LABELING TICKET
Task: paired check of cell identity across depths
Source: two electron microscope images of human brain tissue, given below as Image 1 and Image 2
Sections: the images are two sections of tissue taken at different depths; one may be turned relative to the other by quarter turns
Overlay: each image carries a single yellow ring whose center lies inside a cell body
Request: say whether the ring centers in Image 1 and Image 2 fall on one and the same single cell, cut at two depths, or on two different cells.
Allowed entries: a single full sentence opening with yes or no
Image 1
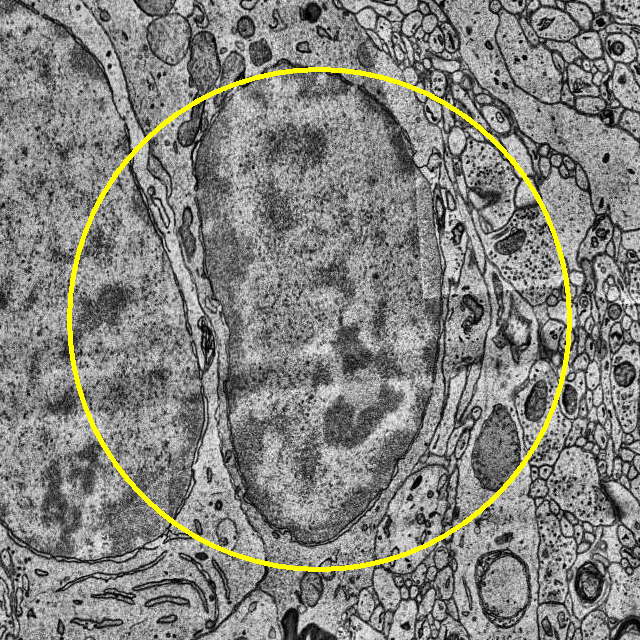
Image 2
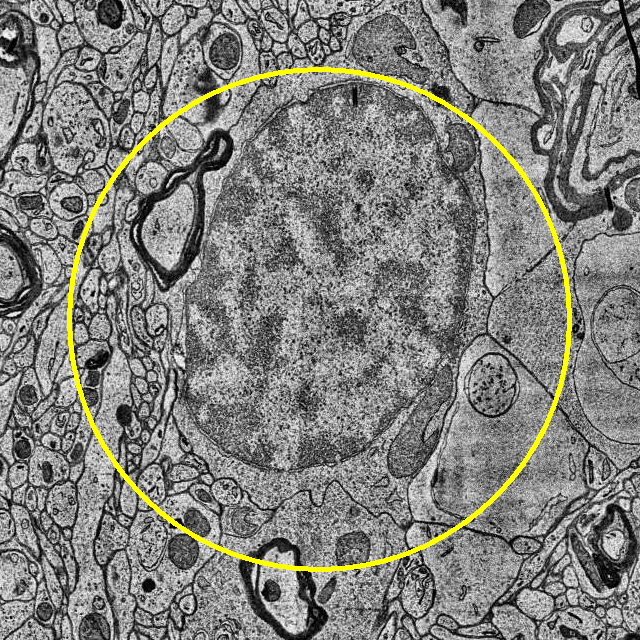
No, the cells inside the two rings are not the same cell.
